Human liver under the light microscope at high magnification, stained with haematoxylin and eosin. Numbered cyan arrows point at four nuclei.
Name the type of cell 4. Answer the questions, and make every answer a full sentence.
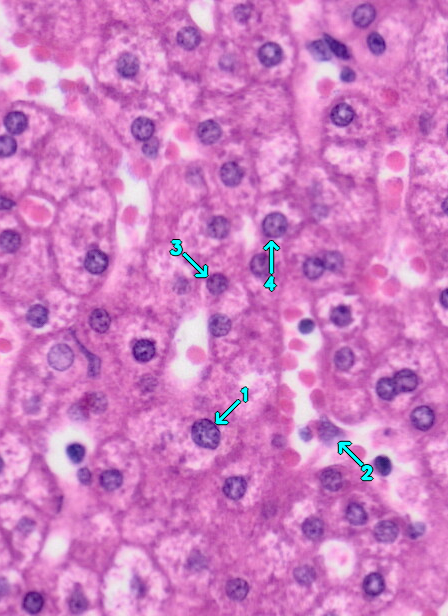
The cell identified by number 4 is a hepatocyte.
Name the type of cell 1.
The cell that goes by number 1 is a hepatocyte.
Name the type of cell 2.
Among the marked cells, number 2 is a Kupffer cell.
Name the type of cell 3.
Cell 3 is classified as a hepatocyte.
